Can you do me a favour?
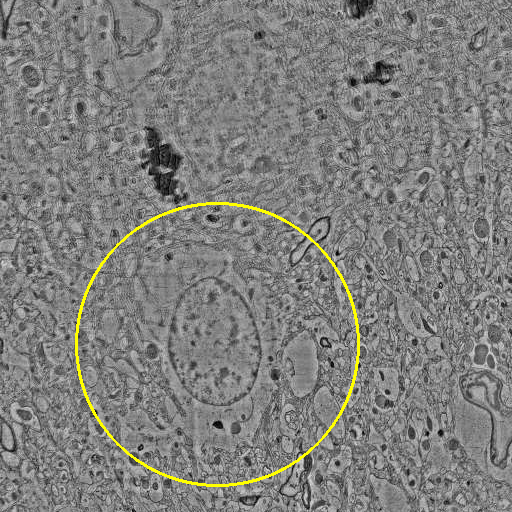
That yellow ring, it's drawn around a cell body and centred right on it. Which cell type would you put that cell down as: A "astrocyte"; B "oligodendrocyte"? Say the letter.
A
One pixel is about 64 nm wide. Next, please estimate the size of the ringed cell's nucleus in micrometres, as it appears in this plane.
In this plane, roughly 8 by 6 micrometres.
